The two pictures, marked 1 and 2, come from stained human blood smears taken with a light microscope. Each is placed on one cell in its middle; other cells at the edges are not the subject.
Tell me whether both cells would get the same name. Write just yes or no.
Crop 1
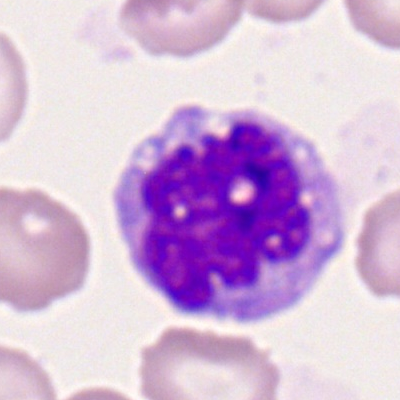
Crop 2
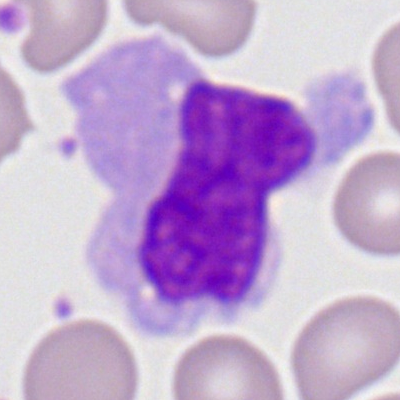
yes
